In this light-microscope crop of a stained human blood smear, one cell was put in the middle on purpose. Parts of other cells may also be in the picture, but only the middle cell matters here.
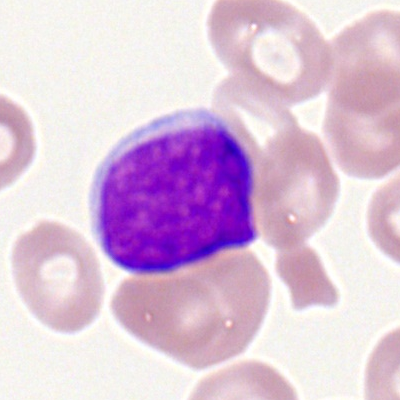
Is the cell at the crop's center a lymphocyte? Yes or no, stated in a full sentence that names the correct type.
Yes, the cell that lies centrally is a lymphocyte.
